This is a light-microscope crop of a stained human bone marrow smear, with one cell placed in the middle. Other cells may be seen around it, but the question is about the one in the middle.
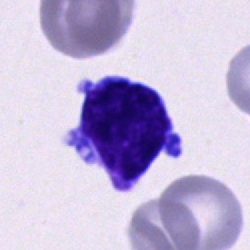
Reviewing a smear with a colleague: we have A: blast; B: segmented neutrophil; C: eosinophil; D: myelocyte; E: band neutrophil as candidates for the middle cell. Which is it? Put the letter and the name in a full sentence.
The correct choice is option A, which identifies the middle cell as a blast.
